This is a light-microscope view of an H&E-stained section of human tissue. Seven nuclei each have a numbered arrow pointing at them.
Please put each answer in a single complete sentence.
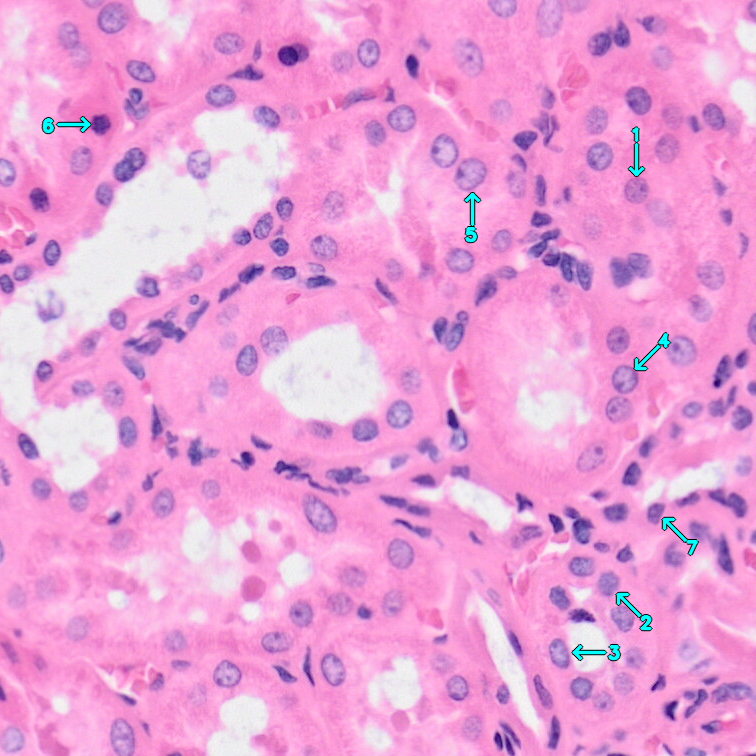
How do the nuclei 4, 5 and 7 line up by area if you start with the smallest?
From smallest to largest, the order is 7, 4, 5.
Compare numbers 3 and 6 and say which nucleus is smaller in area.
Number 6 is smaller, since number 3 takes up about 1.5 times as much area.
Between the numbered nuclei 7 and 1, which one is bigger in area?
Nucleus 1 is larger, with an area about 2 times that of nucleus 7.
